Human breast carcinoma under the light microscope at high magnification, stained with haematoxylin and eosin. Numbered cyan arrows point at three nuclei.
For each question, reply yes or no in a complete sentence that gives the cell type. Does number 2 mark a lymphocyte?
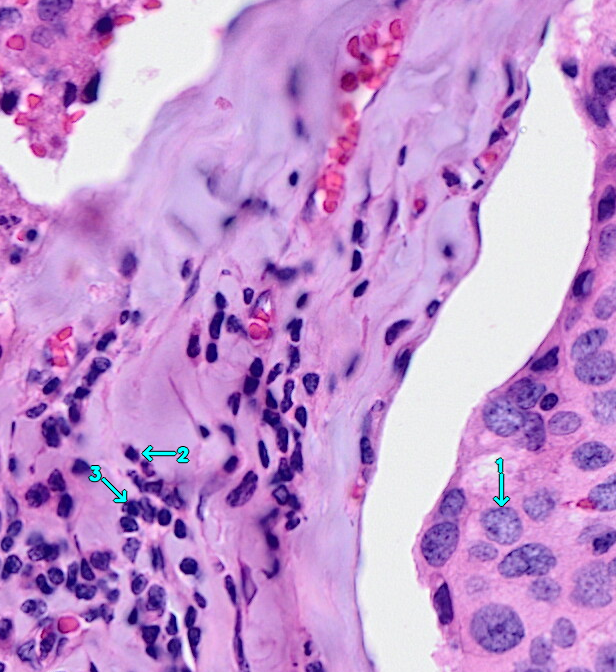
Yes, number 2 in this section denotes a lymphocyte.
